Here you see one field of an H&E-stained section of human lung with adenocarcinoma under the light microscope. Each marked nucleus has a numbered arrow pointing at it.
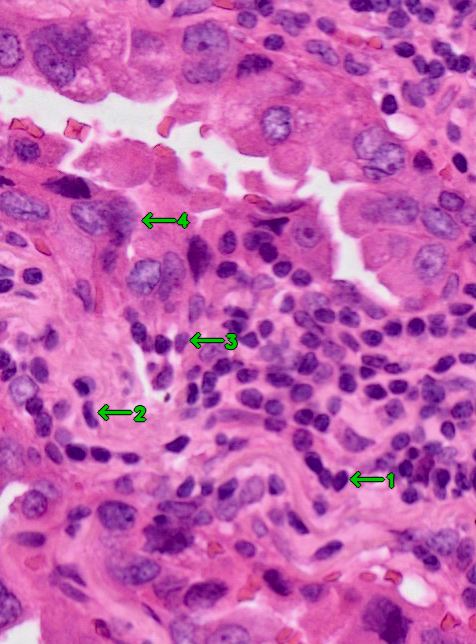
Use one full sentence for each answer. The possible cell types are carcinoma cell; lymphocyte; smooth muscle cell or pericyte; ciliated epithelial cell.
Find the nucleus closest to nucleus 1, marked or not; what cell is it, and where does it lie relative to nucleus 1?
Lying to the left of nucleus 1, the nearest nucleus is that of a lymphocyte.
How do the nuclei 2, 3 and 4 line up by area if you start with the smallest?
Smallest first, the nuclei run 3, 2, 4.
